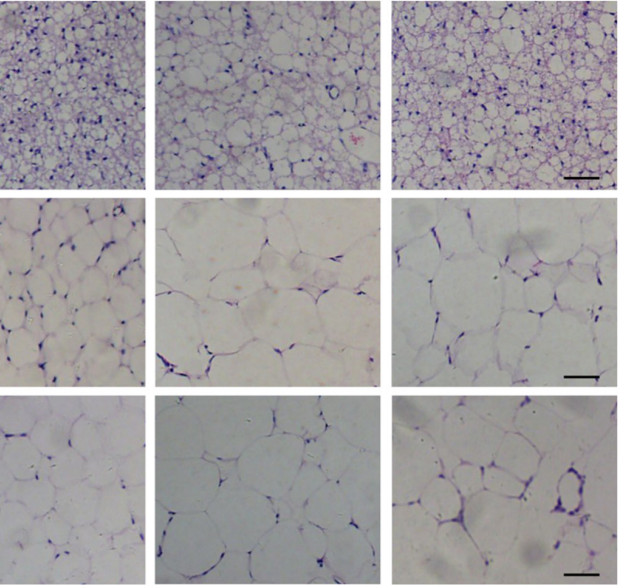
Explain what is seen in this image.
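In the top row the cells are small and tightly packed. Many small dark-blue nuclei are scattered among them, and the pink cytoplasm has a foamy, vacuolated look. In the two lower rows the adipocytes are much larger and rounded to polygonal. Each has a clear, empty-looking interior left where the lipid was, bounded by a very thin pink rim. Their few dark-blue nuclei are flattened against the cell edge. Cell size differs visibly from column to column.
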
